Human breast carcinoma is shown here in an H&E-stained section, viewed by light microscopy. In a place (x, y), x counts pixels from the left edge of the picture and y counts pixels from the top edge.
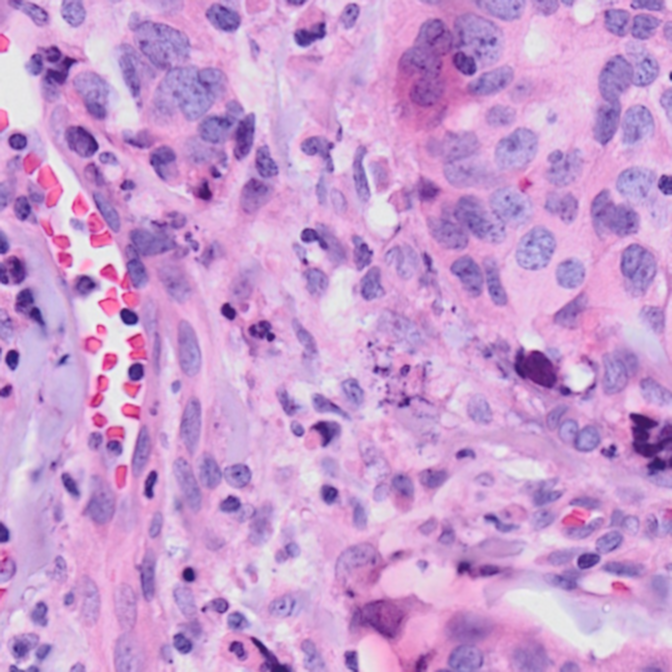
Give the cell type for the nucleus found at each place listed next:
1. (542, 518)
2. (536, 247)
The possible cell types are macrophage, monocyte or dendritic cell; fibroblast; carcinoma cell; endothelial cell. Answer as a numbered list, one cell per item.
1. endothelial cell
2. carcinoma cell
